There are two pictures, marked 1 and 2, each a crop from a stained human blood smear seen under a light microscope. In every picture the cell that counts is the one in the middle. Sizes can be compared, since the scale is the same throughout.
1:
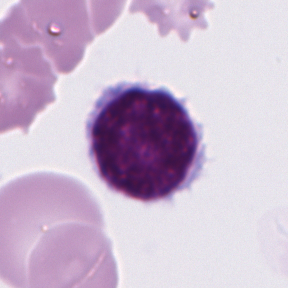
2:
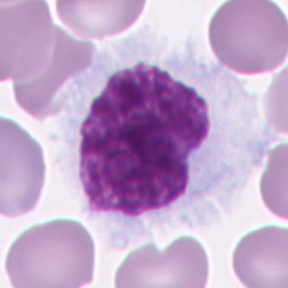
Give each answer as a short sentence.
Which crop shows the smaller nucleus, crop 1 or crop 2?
Crop 1 shows the smaller nucleus, since that in crop 2 covers about 1.5 times as much area.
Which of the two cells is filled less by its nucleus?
It is the cell in crop 2 that is filled less by its nucleus.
